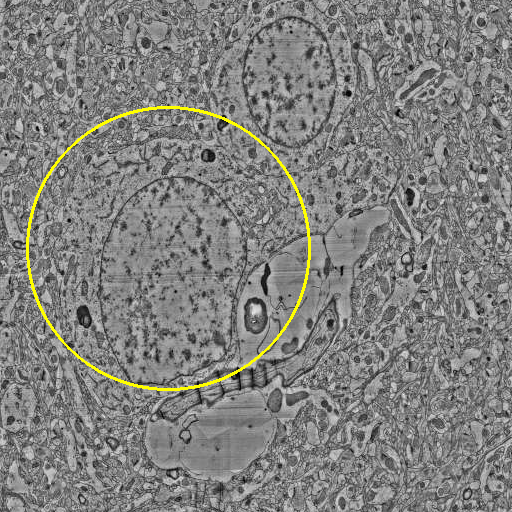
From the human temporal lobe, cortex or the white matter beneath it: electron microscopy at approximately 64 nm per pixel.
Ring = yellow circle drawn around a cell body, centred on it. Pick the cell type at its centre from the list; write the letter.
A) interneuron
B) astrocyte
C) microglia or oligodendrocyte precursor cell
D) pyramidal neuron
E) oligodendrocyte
D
